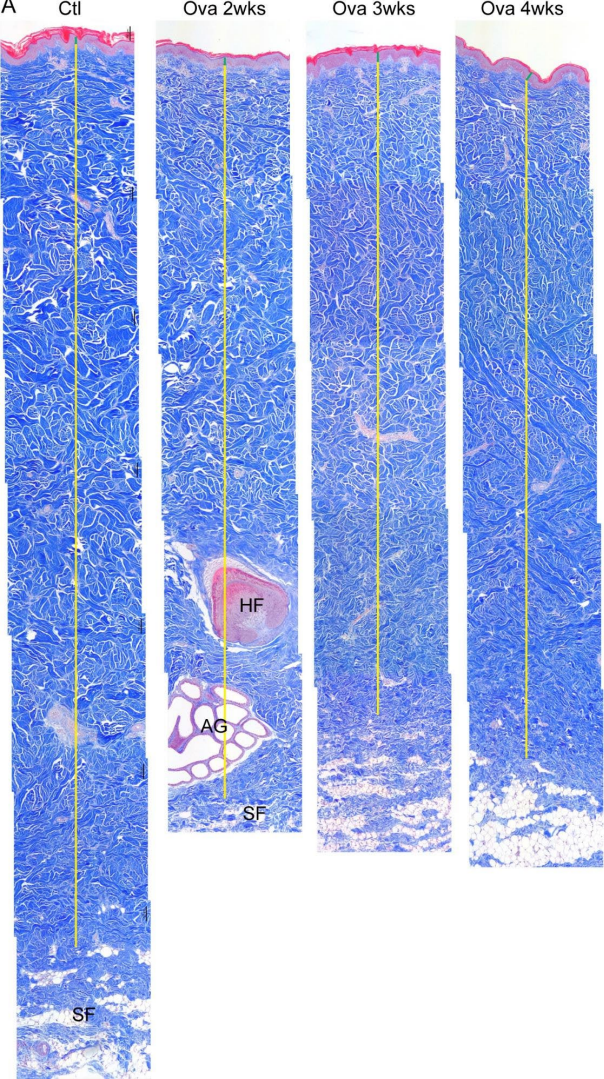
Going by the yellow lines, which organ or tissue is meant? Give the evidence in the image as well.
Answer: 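Dermis. The yellow lines run through a thick layer of densely packed blue-stained fibres beneath a thin red surface layer. The yellow lines end where pale, open fat tissue begins at the bottom.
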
